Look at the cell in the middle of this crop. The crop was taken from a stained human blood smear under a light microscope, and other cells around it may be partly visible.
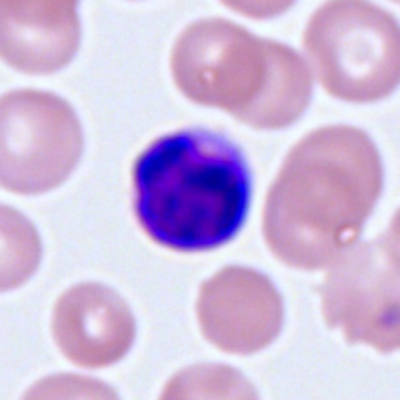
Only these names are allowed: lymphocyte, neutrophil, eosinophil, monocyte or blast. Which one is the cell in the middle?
lymphocyte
